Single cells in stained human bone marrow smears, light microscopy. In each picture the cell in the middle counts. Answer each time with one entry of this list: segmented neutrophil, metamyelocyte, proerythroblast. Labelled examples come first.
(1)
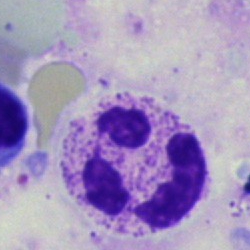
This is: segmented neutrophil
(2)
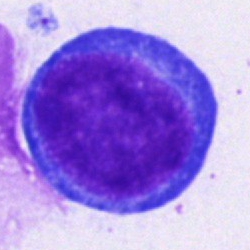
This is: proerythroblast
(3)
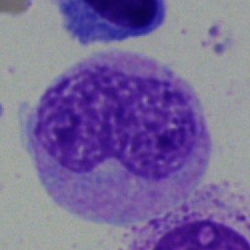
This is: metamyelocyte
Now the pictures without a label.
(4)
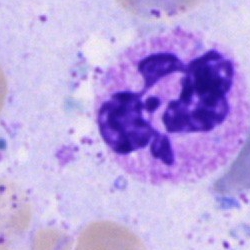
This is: segmented neutrophil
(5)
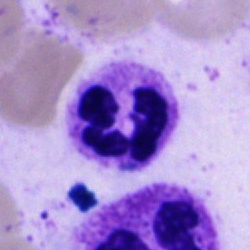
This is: segmented neutrophil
